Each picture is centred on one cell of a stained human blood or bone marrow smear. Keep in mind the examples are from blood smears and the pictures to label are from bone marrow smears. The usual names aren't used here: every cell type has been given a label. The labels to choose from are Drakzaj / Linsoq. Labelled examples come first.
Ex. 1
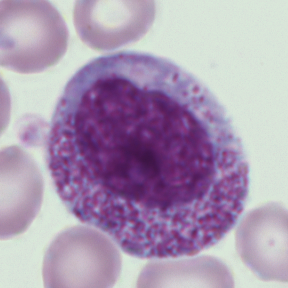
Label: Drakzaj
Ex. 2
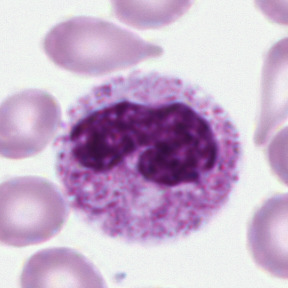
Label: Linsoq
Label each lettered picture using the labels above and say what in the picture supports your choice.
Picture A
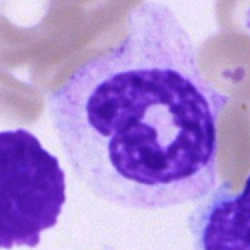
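Linsoq. Evidence: The chromatin is coarse and clumped, stained dark purple.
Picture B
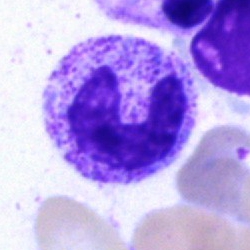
Linsoq. Evidence: The nucleus is bent into a U shape with its two arms pointing upward.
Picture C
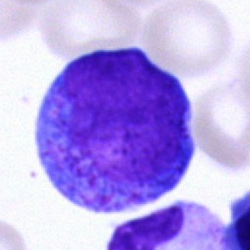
Drakzaj. Evidence: The chromatin looks fine rather than coarsely clumped.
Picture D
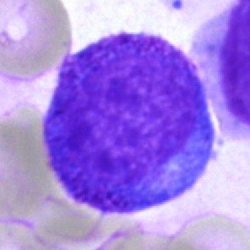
Drakzaj. Evidence: The chromatin looks finely stippled rather than coarsely clumped.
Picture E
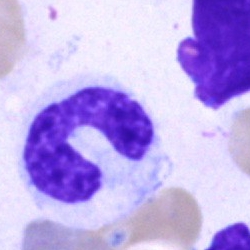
Linsoq. Evidence: The nucleus is bent into a horseshoe or C shape.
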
